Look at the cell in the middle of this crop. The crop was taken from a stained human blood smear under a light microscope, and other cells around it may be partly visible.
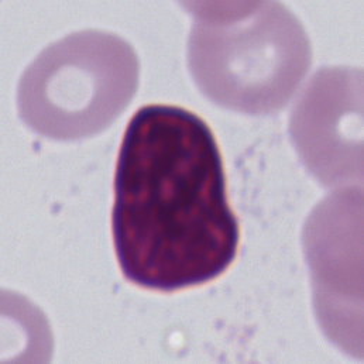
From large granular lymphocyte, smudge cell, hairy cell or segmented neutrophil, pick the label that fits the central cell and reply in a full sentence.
This crop is built around a smudge cell at its centre.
